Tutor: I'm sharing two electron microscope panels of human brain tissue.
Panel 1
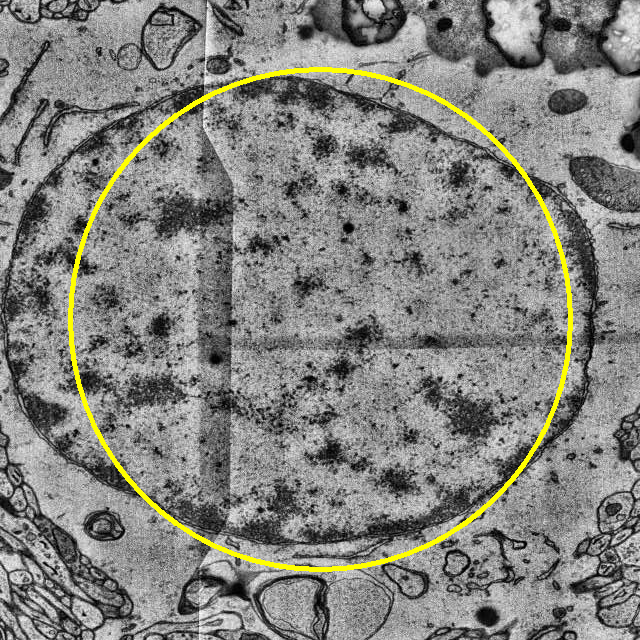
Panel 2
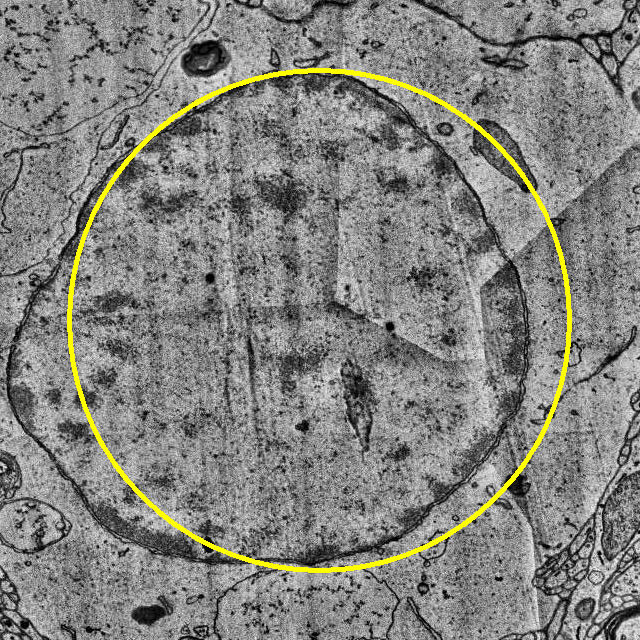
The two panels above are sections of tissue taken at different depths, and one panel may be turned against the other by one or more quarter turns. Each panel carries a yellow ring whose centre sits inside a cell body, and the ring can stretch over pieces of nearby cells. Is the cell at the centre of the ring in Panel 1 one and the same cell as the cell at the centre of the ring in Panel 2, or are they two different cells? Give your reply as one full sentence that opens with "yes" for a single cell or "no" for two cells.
No, it is two different cells that the rings mark.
